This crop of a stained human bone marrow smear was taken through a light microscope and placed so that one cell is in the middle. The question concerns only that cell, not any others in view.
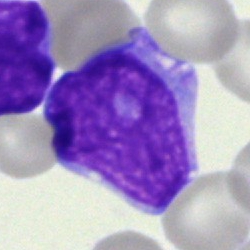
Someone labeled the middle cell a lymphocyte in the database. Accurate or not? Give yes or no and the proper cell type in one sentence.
No, the central cell isn't a lymphocyte, but a blast.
